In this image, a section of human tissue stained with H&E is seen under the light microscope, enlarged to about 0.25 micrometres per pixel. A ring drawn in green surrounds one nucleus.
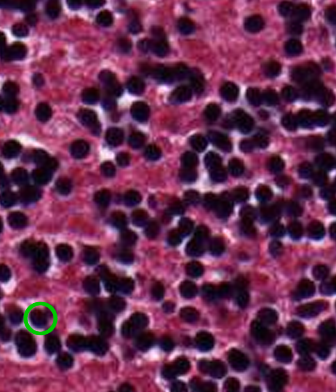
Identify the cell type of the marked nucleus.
cerebellar granule cell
